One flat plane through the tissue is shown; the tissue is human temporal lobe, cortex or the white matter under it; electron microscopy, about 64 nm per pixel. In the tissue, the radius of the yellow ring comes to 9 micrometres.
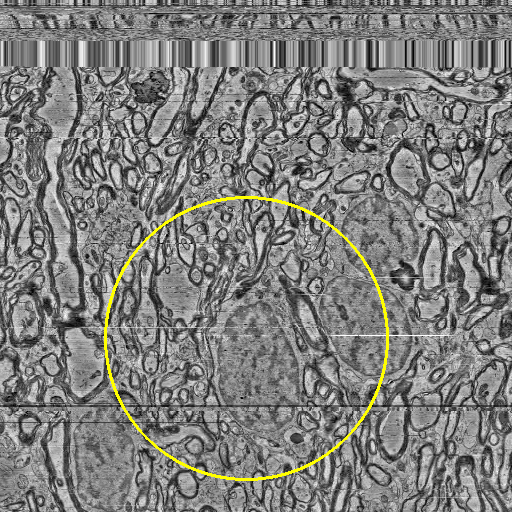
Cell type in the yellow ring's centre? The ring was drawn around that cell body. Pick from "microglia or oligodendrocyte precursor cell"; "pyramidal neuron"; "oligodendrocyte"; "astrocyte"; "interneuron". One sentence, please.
The ringed cell body is that of an oligodendrocyte.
